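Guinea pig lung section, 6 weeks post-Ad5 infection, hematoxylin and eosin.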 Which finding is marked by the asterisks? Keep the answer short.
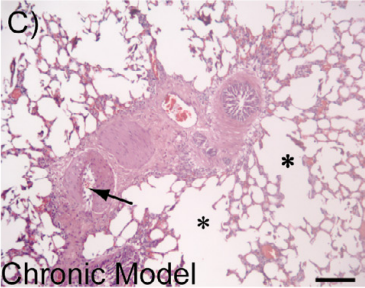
Damage to the alveolar parenchyma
